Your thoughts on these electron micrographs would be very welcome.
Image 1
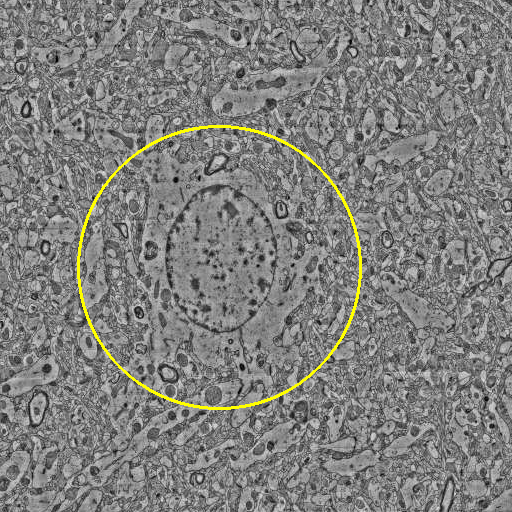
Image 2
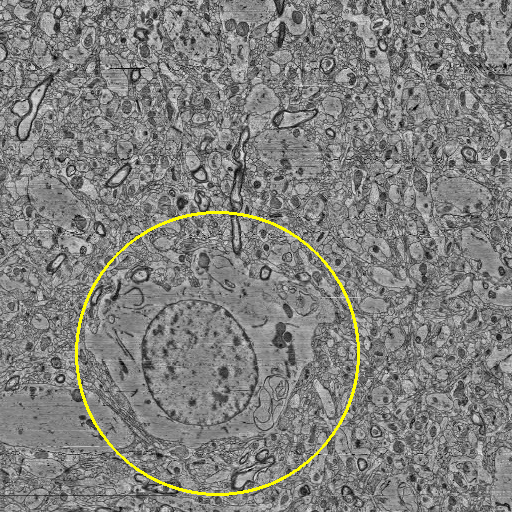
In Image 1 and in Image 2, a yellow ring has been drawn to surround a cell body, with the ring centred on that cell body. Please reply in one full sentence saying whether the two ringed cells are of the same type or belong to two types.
The ringed cells in Image 1 and Image 2 are of the same type.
